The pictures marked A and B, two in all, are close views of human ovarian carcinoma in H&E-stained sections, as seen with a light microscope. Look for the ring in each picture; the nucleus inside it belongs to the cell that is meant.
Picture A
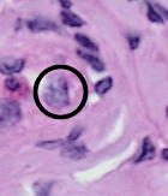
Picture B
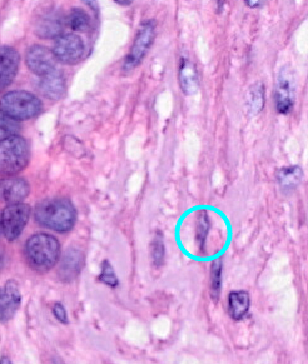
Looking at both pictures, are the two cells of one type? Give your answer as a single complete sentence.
No, they differ: the cell is an endothelial cell in picture A and a fibroblast in picture B.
